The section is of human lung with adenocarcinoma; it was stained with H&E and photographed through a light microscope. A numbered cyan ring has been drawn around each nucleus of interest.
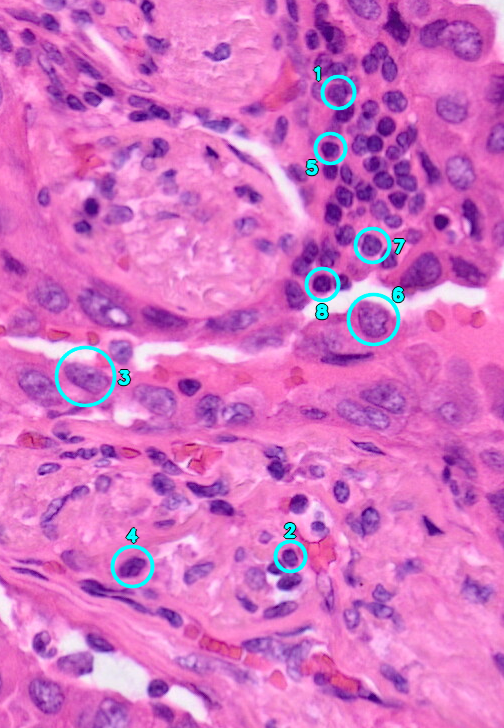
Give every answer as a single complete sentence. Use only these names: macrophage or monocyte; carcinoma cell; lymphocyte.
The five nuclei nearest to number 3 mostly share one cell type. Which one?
Most of the five nuclei nearest to number 3 are those of macrophages or monocytes.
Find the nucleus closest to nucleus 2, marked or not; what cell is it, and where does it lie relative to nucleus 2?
The closest nucleus belongs to a lymphocyte and sits below and to the left of nucleus 2.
